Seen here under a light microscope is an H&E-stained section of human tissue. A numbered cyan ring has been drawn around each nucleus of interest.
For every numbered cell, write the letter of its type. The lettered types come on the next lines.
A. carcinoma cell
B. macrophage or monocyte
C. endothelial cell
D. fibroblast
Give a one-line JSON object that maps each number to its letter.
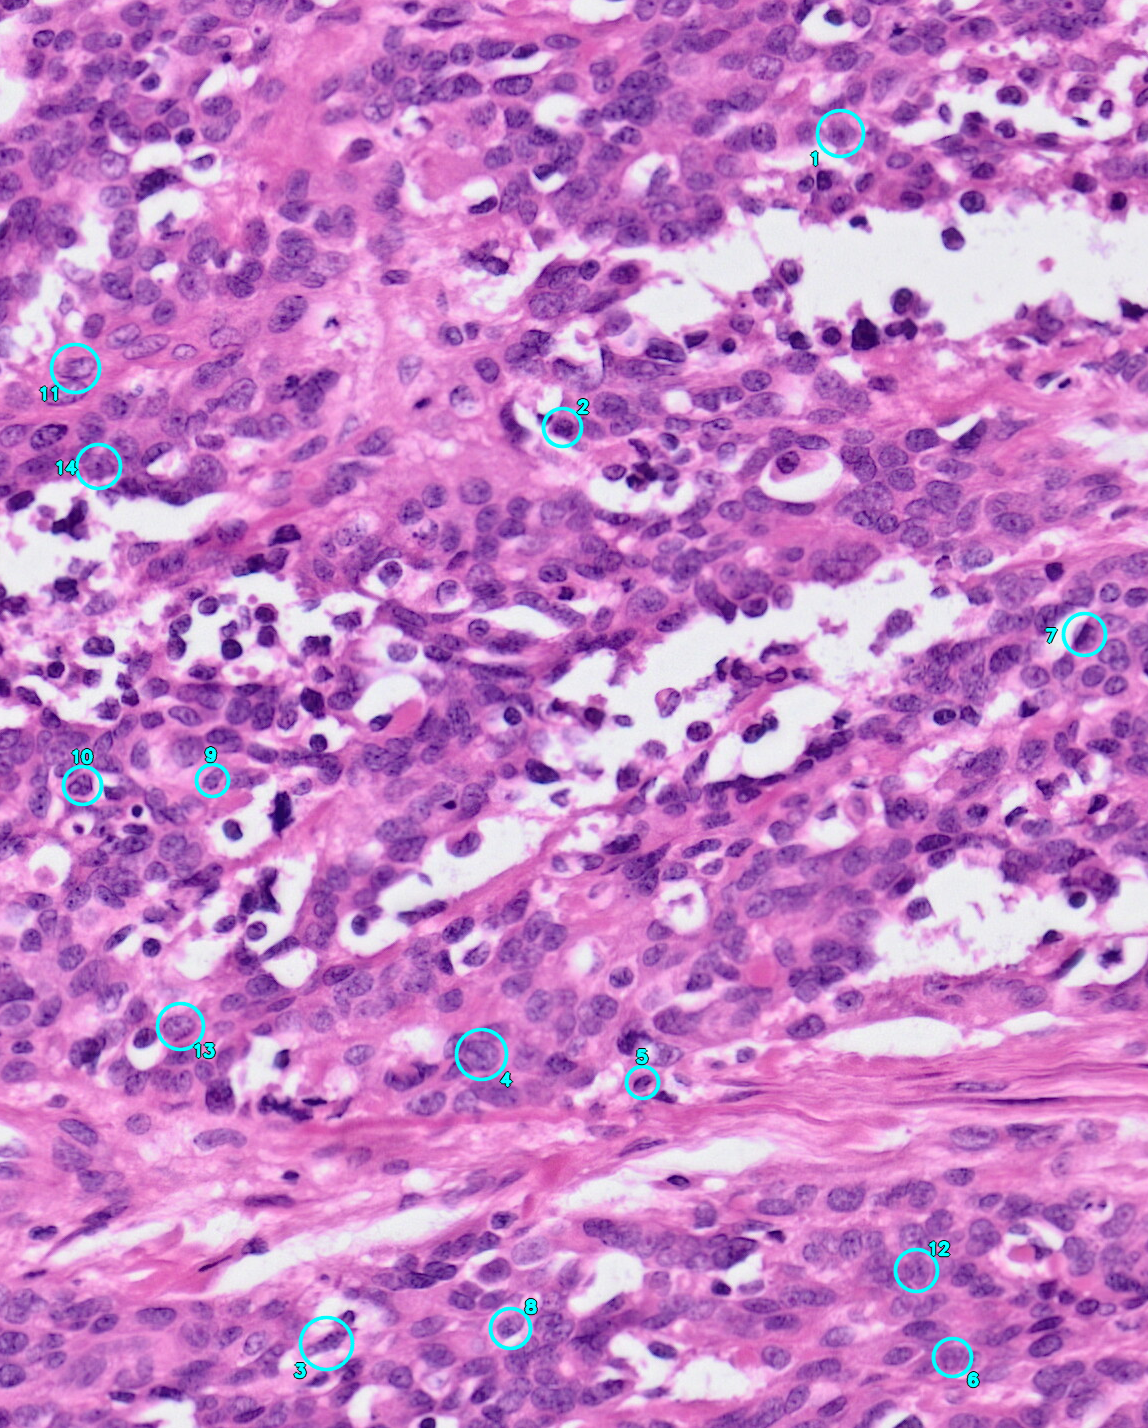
{"1": "A", "2": "A", "3": "B", "4": "A", "5": "B", "6": "A", "7": "A", "8": "B", "9": "B", "10": "B", "11": "C", "12": "A", "13": "A", "14": "A"}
